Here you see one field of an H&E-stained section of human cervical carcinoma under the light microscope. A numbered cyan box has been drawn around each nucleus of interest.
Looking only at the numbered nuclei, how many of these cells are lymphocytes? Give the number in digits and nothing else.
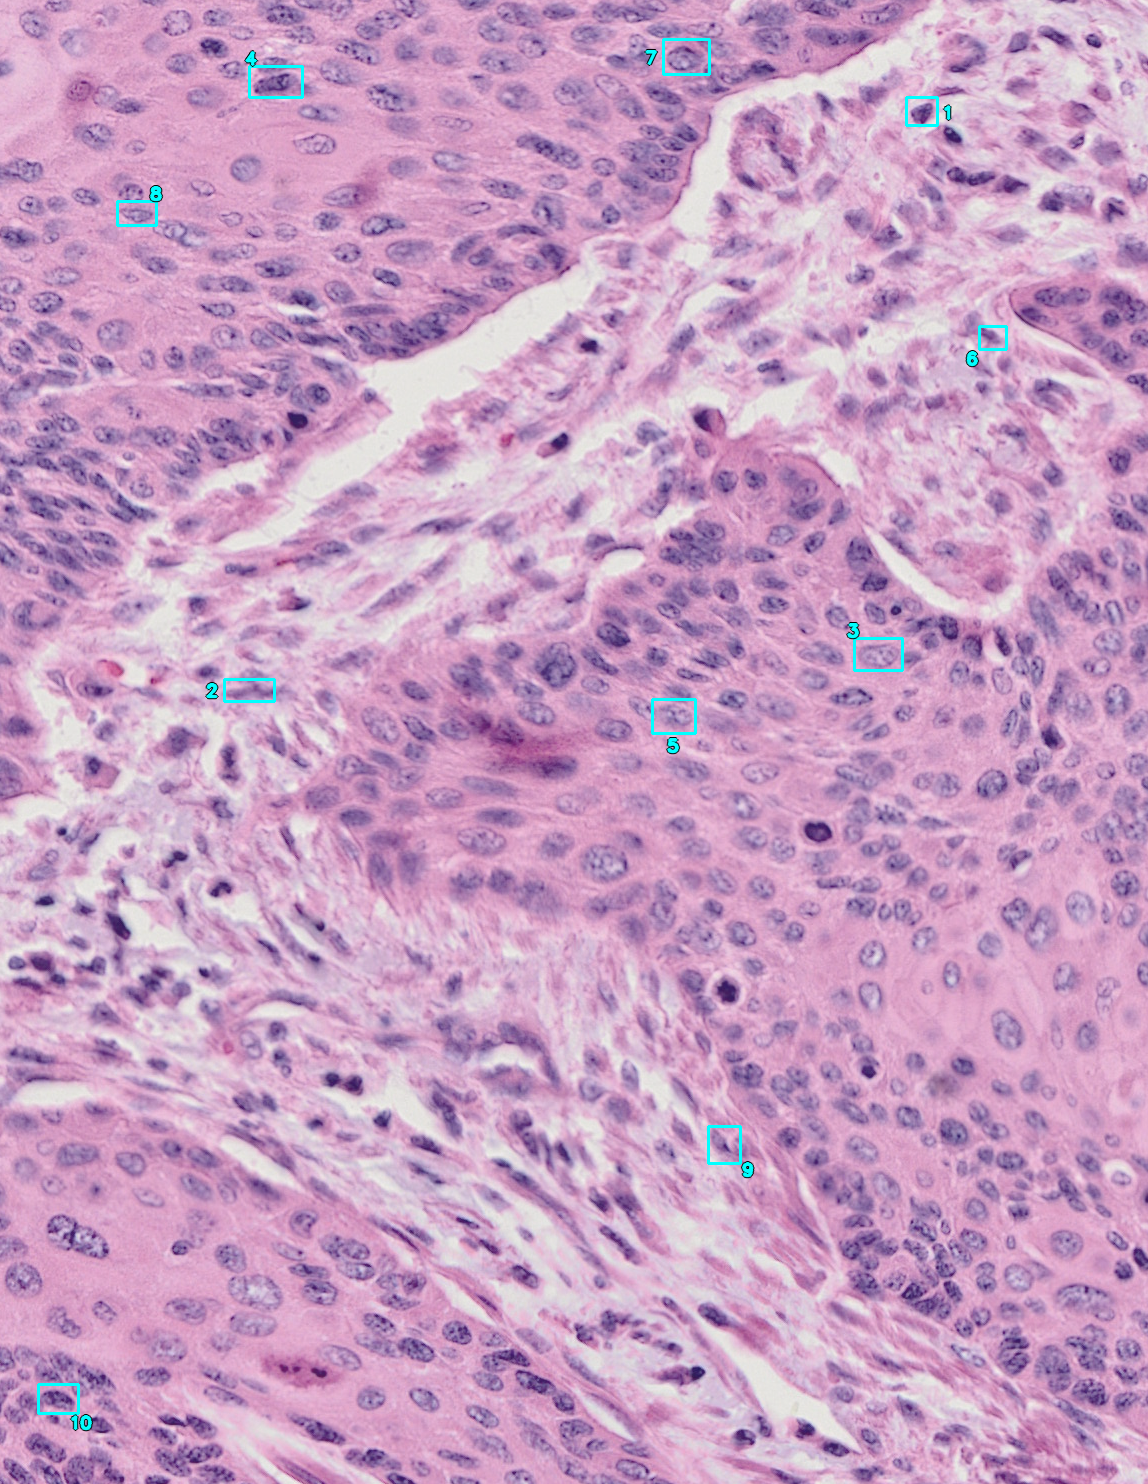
1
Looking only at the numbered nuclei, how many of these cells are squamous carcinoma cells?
6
